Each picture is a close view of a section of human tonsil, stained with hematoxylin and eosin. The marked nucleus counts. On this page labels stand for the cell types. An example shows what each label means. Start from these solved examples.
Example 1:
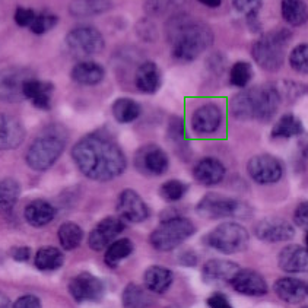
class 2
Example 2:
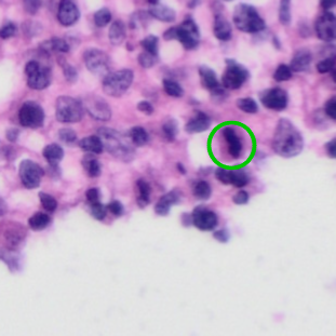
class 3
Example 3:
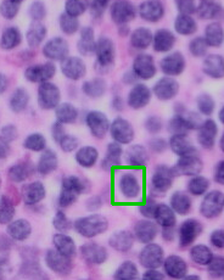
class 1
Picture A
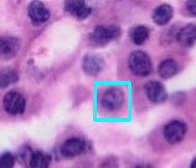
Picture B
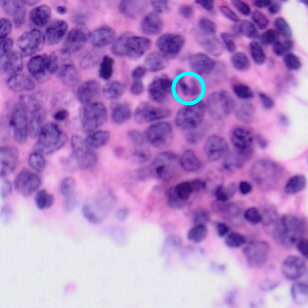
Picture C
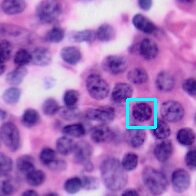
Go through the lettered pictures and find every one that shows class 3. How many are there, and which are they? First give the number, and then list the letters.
1, namely B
